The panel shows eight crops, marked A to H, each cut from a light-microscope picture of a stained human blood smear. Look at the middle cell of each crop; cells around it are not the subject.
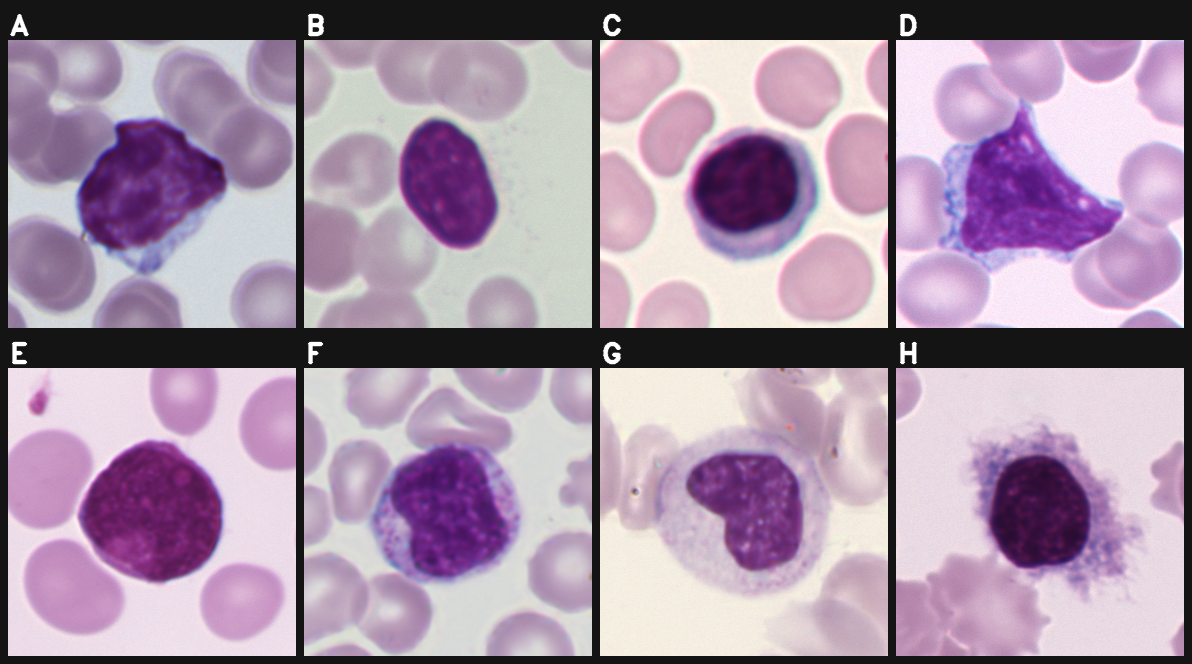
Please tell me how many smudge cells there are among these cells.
1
